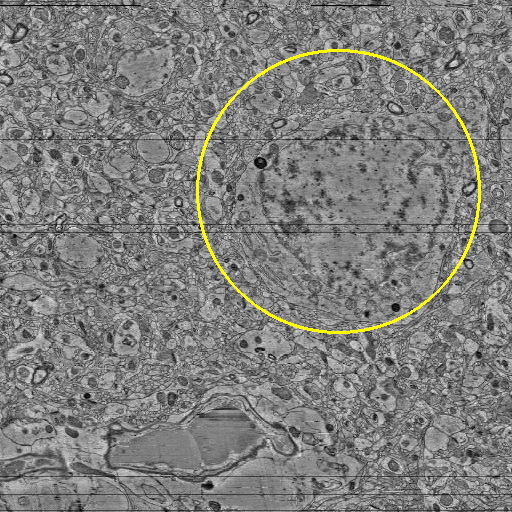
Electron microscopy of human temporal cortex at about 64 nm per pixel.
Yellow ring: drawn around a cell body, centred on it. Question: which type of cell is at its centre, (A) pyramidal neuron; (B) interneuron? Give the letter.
B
